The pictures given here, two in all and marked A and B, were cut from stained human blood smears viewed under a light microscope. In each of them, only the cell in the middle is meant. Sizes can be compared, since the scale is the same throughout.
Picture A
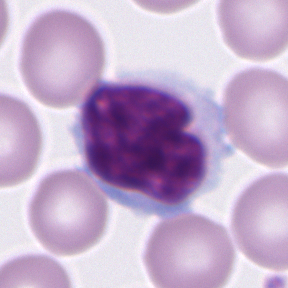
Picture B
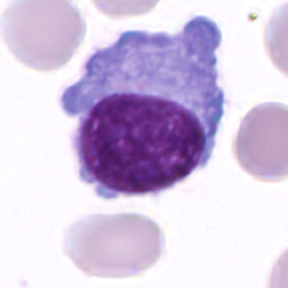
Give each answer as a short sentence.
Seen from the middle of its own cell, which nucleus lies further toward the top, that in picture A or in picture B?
Seen within its cell, the nucleus in picture A lies further toward the top.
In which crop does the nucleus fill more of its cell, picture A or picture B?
In picture A the nucleus takes up the larger part of its cell.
